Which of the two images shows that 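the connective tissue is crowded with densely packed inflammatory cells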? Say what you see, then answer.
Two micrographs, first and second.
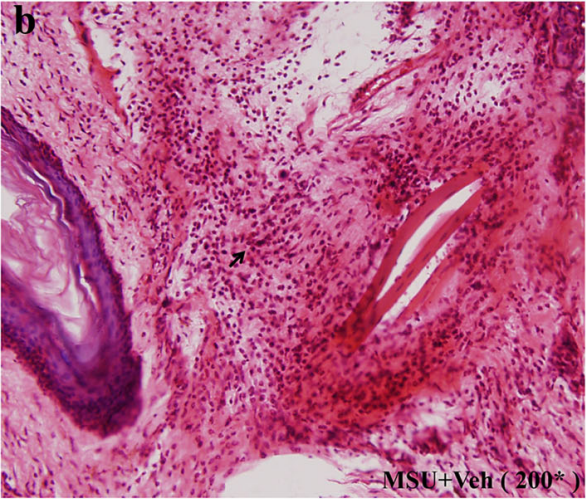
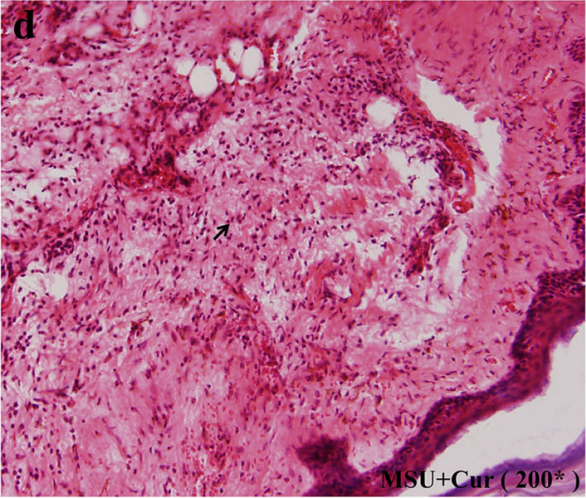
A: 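Second image: the pink connective tissue has scattered nuclei, with loose fibrous areas between them. First image: broad zones of the connective tissue are packed with small dark purple nuclei. On this evidence: the first image.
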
